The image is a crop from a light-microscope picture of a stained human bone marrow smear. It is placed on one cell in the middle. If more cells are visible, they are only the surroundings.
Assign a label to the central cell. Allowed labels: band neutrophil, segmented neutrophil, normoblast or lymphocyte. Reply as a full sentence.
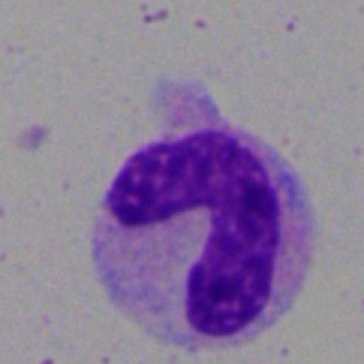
Standing at the centre of this crop is a band neutrophil.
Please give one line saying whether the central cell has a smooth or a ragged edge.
It is the contour of the cell that is irregular, being ragged or projecting outward.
